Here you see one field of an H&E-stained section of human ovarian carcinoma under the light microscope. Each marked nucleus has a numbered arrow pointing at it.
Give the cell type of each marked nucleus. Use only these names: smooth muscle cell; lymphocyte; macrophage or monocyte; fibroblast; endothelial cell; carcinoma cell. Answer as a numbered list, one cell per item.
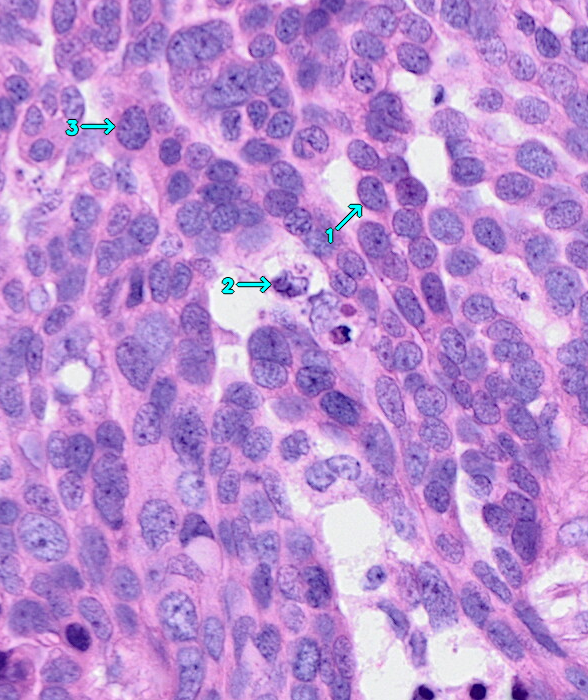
1. carcinoma cell
2. macrophage or monocyte
3. carcinoma cell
